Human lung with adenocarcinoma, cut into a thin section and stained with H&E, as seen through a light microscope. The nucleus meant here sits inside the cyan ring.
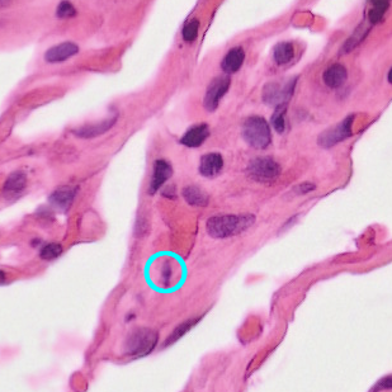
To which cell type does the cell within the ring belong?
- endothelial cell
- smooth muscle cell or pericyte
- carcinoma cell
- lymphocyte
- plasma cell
endothelial cell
